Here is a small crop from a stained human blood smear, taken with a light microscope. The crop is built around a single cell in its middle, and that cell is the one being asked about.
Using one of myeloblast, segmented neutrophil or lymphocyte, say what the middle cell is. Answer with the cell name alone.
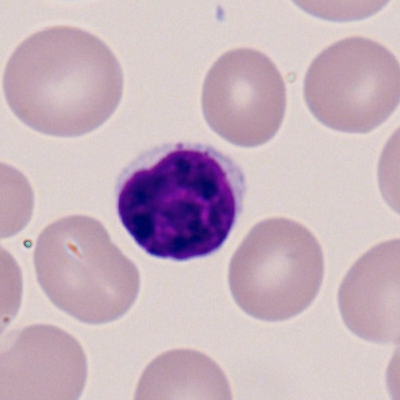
lymphocyte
